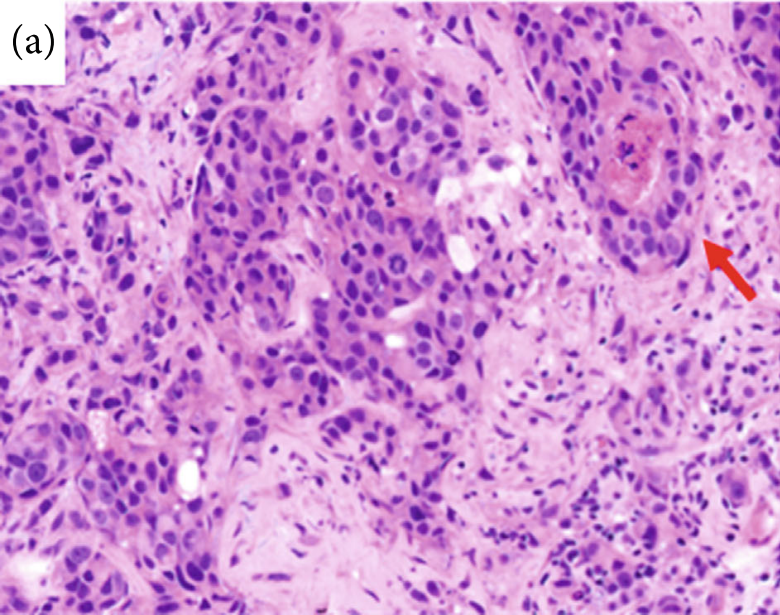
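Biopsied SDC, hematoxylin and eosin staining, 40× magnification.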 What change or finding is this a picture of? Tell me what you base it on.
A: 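Tumor nuclei vary clearly in size and shape. Many nuclei are enlarged and dark-staining. So: nuclear pleomorphism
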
